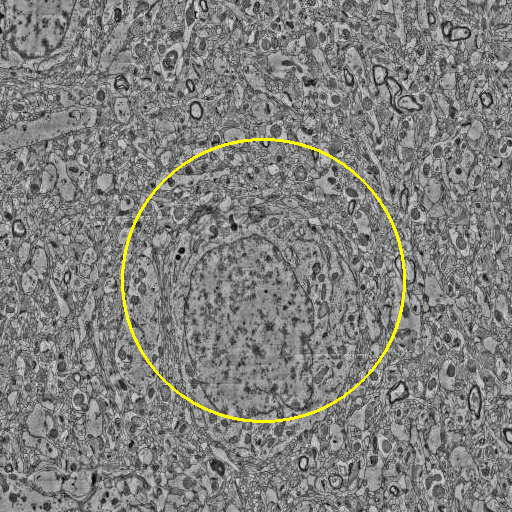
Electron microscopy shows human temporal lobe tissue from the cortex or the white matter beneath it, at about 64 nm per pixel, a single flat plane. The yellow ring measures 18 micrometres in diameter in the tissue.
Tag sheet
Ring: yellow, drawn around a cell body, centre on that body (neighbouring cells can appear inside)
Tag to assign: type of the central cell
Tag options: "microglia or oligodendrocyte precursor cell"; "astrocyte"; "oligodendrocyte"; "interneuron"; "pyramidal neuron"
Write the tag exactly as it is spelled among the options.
interneuron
